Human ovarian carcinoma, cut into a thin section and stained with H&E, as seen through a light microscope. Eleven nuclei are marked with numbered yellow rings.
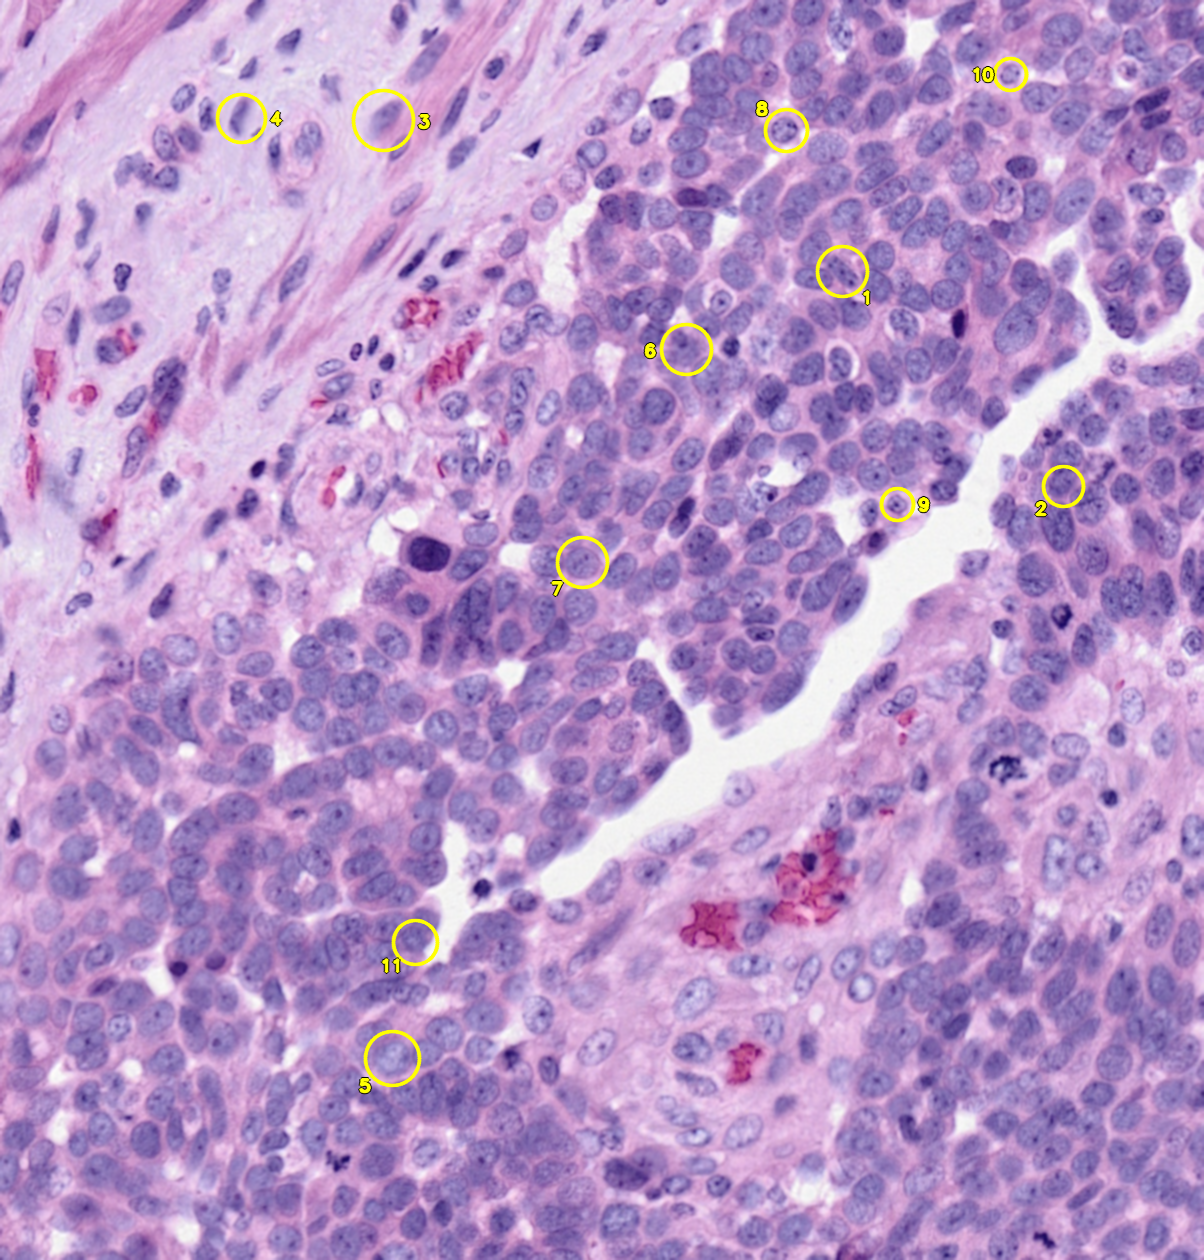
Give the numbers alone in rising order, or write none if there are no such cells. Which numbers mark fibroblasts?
4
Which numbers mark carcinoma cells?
2, 5, 6, 7, 11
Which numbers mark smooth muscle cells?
3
